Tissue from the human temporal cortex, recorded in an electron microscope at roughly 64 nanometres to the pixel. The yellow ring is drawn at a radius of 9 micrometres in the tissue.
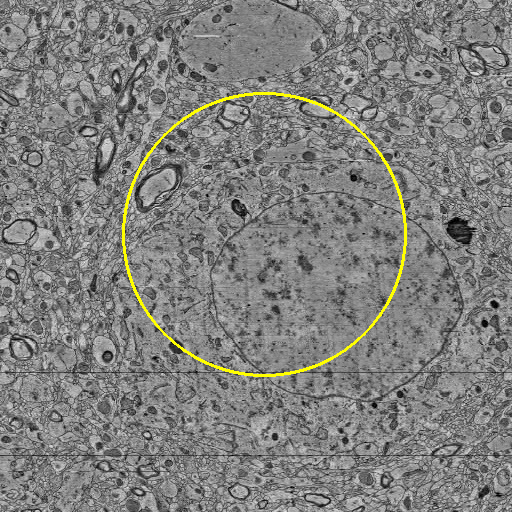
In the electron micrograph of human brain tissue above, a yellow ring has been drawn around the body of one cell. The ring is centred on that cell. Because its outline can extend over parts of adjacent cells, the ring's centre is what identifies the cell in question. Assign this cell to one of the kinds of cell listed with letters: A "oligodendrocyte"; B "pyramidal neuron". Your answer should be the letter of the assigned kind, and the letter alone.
B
